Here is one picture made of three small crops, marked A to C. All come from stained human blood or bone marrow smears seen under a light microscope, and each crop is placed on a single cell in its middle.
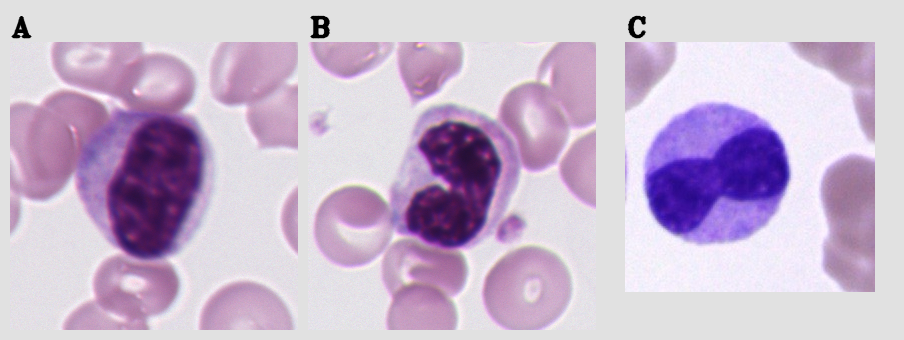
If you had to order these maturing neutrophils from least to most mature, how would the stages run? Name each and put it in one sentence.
Ordering the crops by maturity, least first, gives crop A (a metamyelocyte), crop C (a band neutrophil) and crop B (a segmented neutrophil).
